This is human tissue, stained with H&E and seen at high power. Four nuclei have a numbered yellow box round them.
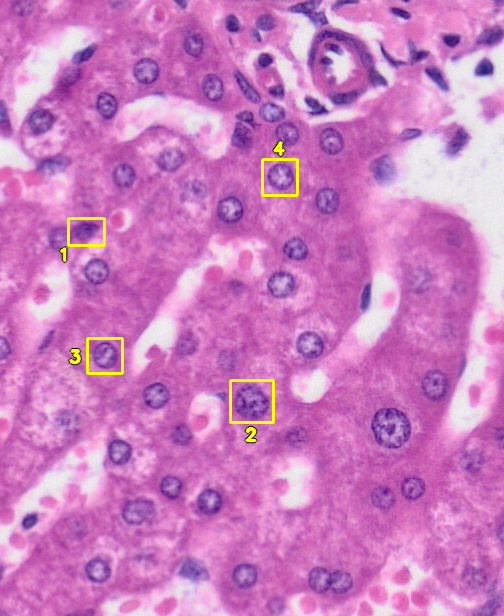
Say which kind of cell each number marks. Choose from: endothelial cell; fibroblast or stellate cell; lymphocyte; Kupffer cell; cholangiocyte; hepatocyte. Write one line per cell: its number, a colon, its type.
1: fibroblast or stellate cell
2: hepatocyte
3: hepatocyte
4: hepatocyte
